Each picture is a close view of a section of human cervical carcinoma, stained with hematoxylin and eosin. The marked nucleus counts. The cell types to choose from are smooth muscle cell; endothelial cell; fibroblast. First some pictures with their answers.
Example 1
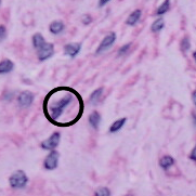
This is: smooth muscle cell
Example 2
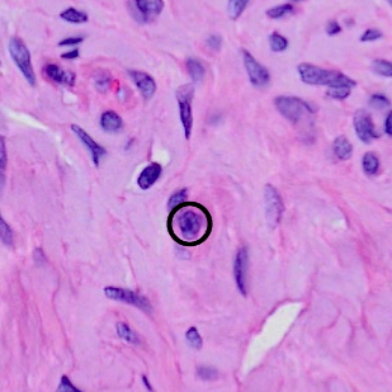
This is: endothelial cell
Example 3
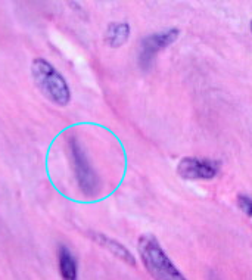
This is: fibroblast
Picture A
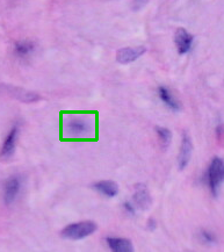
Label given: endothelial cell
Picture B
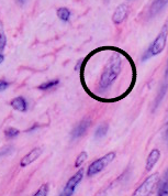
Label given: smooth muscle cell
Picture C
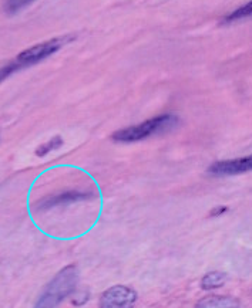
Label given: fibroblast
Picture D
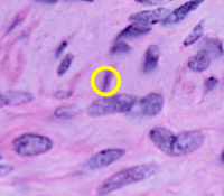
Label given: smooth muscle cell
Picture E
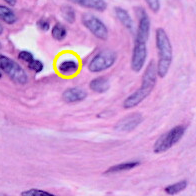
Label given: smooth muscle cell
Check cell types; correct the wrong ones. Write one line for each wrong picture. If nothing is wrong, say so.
A: fibroblast, not endothelial cell
E: endothelial cell, not smooth muscle cell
